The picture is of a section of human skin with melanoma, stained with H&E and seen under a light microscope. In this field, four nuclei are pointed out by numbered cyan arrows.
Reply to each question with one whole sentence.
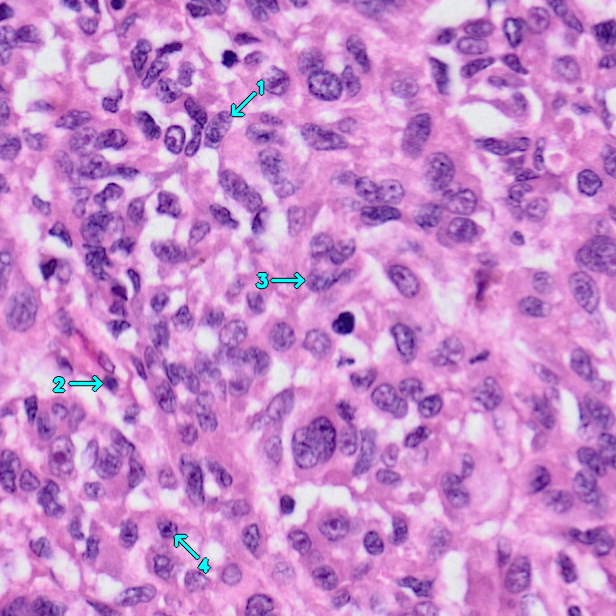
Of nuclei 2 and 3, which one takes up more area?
Of the two, number 3 is bigger and takes up about 2.5 times the area of number 2.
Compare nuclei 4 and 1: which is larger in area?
At about 2 times the area of nucleus 4, nucleus 1 is the larger of the two.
